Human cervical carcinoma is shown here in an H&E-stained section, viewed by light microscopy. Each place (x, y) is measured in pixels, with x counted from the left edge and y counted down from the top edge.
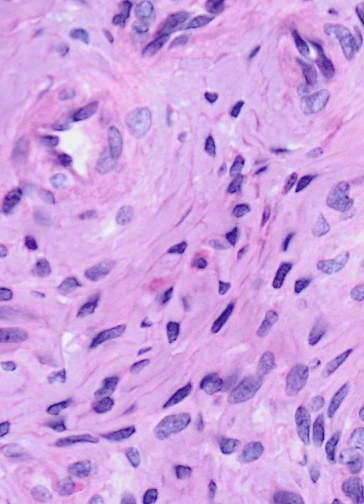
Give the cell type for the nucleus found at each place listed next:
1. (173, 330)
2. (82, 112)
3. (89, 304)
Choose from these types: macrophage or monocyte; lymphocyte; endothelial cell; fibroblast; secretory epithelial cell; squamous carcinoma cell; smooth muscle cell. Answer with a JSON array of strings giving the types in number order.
["fibroblast", "endothelial cell", "fibroblast"]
